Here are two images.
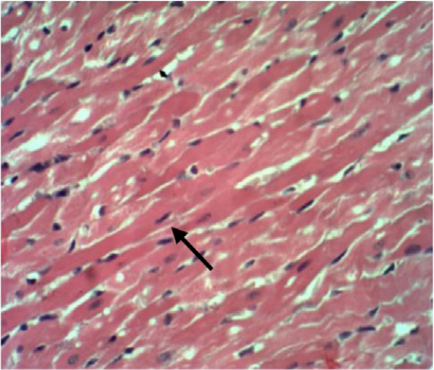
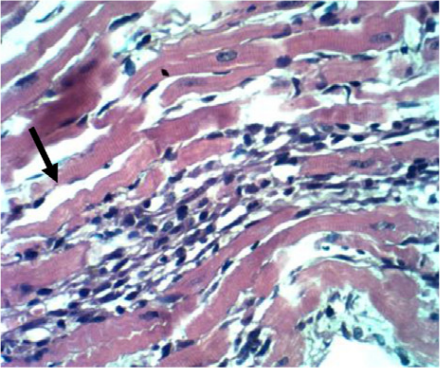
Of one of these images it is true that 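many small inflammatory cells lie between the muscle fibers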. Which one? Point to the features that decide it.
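Second image: a dense band of small dark round nuclei runs between the fibers. First image: only scattered myocyte nuclei, no cluster of small cells between fibers.
Hence: the second image.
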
